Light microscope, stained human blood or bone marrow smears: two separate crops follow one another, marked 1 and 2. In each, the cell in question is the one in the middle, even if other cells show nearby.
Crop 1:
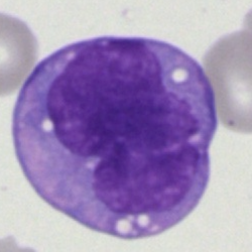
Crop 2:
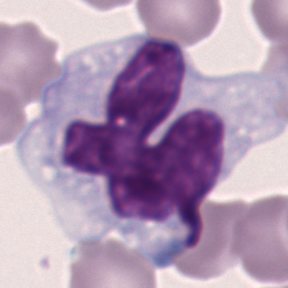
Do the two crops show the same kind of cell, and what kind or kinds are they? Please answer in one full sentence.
No, within crop 1 lies a blast, and within crop 2 lies a monocyte.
